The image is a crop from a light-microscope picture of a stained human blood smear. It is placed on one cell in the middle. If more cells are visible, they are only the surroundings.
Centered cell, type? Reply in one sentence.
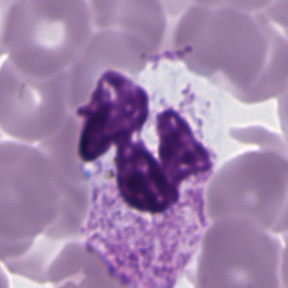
In the center of this field lies a segmented neutrophil.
